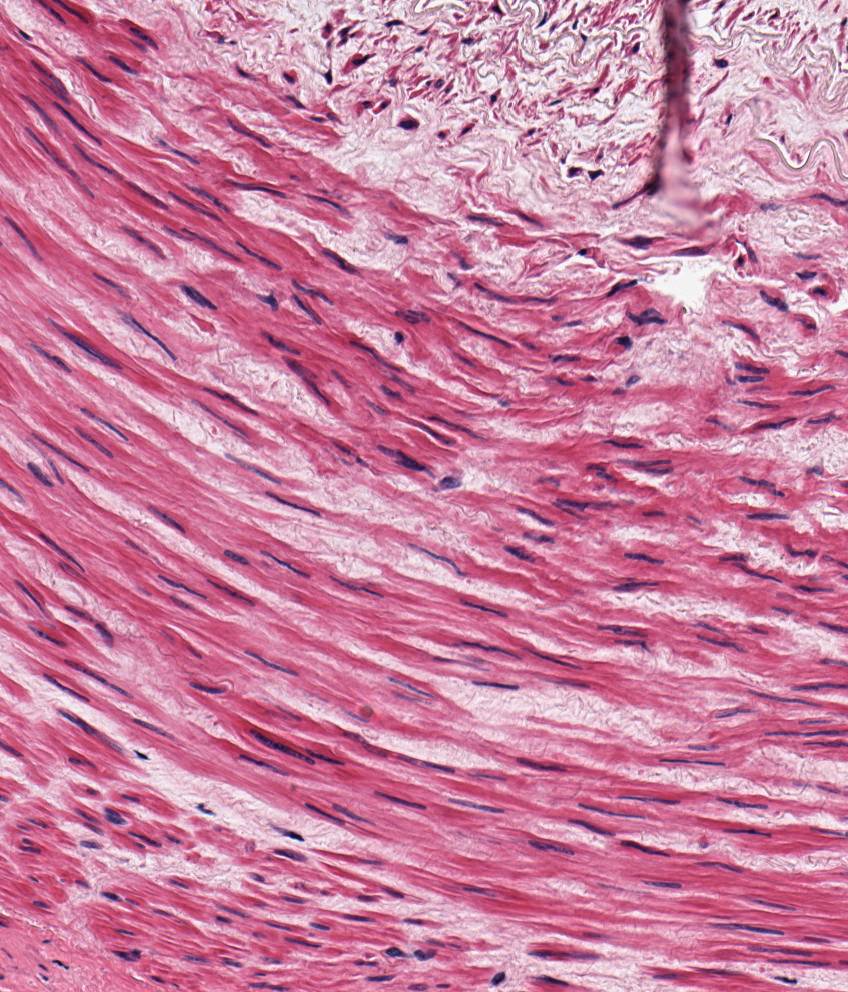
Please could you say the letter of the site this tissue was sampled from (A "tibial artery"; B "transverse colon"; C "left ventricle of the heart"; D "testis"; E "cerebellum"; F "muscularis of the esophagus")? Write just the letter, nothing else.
A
